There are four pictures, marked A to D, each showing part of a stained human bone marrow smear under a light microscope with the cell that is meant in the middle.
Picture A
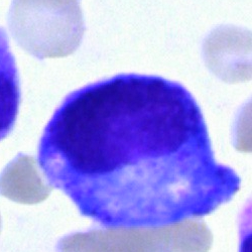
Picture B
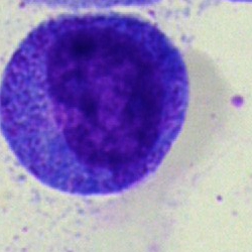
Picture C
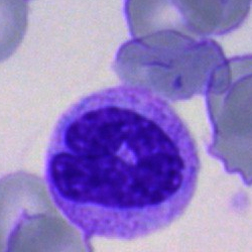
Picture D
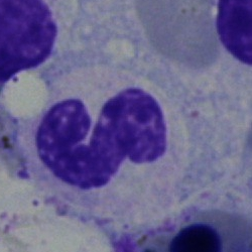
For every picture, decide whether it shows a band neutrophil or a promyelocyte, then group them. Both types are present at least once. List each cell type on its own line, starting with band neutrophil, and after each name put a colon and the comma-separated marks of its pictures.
band neutrophil: C, D
promyelocyte: A, B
